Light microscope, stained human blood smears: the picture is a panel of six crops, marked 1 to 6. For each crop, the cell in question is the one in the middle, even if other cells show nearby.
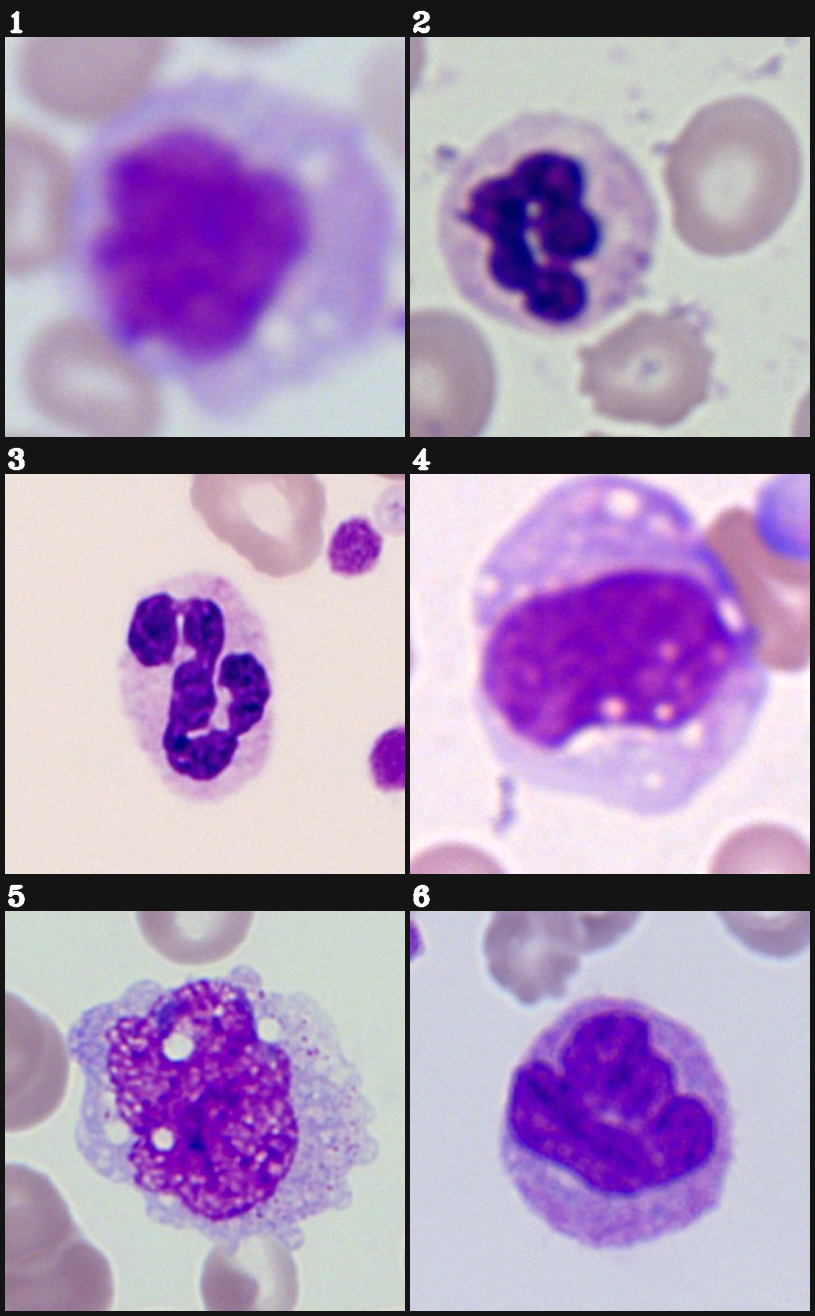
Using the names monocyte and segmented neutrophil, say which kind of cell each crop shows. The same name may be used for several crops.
1: monocyte
2: segmented neutrophil
3: segmented neutrophil
4: monocyte
5: monocyte
6: monocyte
